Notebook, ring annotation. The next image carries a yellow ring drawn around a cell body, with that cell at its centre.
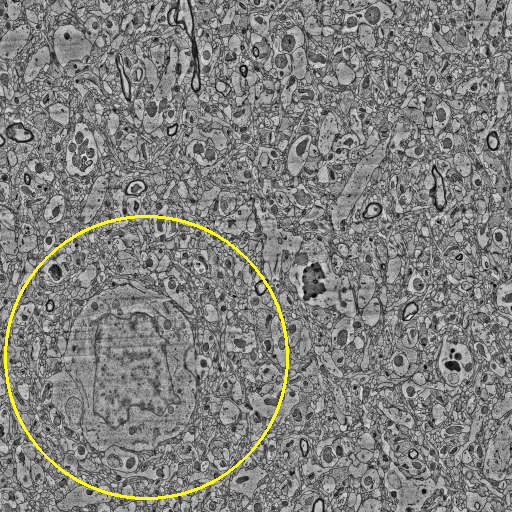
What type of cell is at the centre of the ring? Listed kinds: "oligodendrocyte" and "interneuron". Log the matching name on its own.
interneuron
